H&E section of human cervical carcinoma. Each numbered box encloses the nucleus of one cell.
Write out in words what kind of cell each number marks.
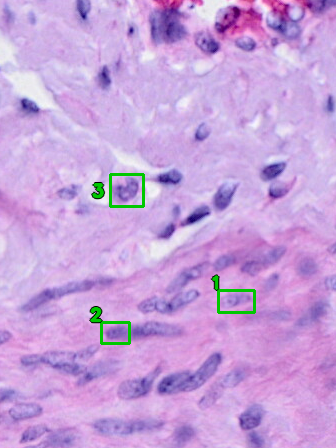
Cells 1 and 2 are smooth muscle cells. Cell 3 is a macrophage or monocyte.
